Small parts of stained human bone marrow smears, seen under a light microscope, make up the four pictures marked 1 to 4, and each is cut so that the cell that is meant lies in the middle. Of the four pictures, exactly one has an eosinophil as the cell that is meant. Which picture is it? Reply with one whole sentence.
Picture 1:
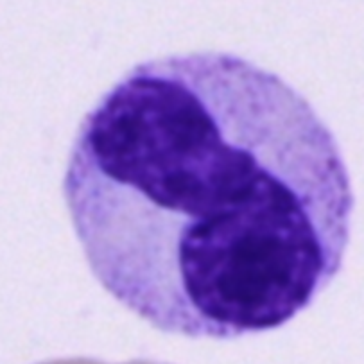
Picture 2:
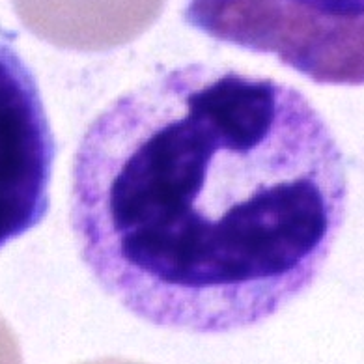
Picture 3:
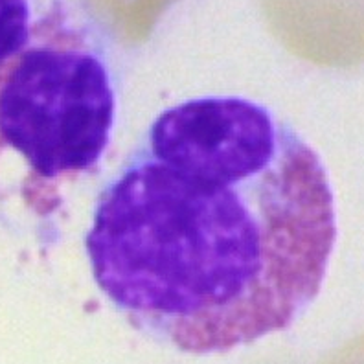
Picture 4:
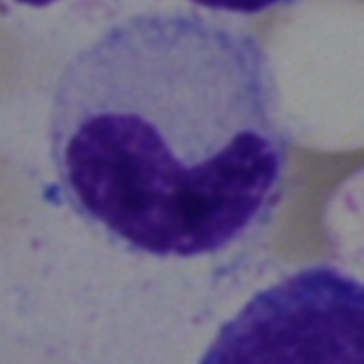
Picture 3 is the one that shows the eosinophil.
